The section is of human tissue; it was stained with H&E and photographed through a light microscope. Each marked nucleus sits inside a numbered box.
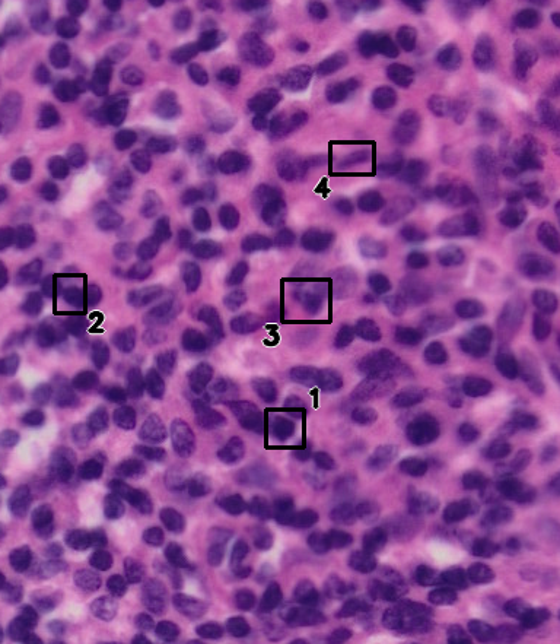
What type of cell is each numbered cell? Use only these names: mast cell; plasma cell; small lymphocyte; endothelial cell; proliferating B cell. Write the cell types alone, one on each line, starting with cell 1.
small lymphocyte
small lymphocyte
endothelial cell
endothelial cell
